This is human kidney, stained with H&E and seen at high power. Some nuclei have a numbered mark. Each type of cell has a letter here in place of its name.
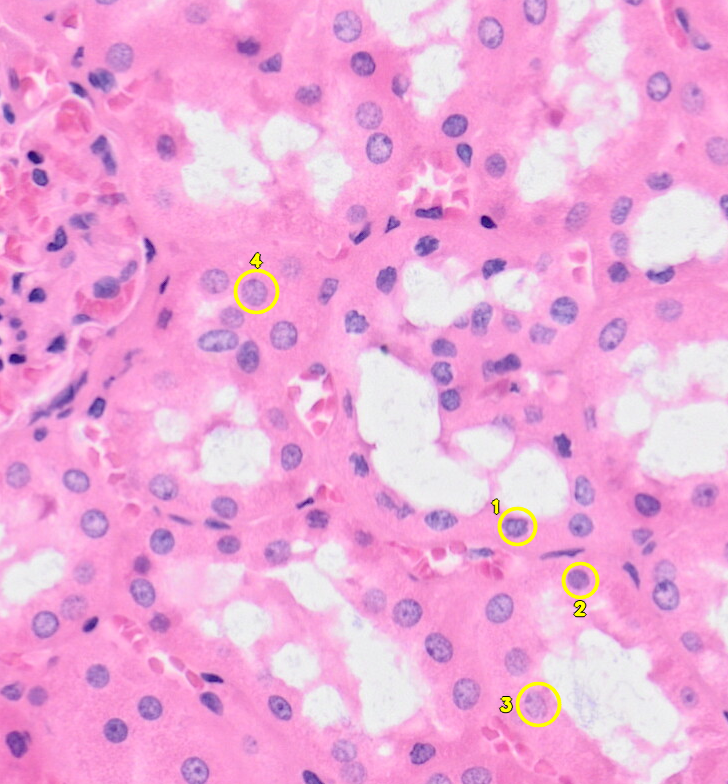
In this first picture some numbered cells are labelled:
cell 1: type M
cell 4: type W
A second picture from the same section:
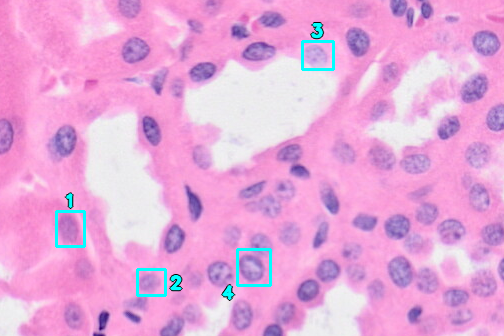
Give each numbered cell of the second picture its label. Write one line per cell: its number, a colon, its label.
1: type W
2: type M
3: type M
4: type M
